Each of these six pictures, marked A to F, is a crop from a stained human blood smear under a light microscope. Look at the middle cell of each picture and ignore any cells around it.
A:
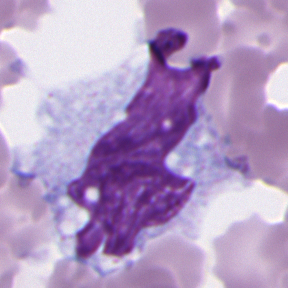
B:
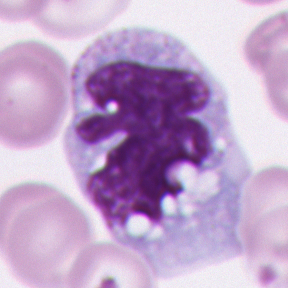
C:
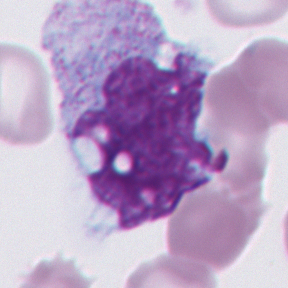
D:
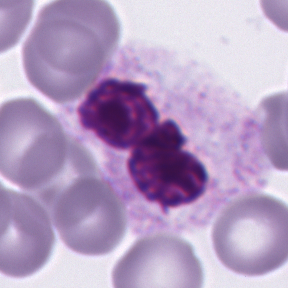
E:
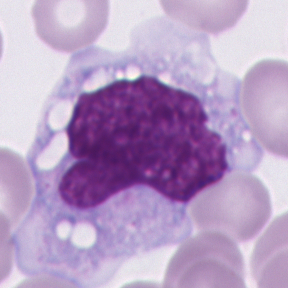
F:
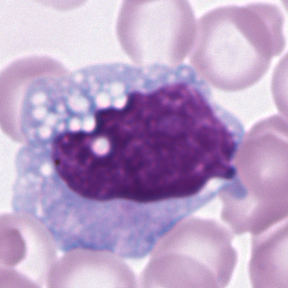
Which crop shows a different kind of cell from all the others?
D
